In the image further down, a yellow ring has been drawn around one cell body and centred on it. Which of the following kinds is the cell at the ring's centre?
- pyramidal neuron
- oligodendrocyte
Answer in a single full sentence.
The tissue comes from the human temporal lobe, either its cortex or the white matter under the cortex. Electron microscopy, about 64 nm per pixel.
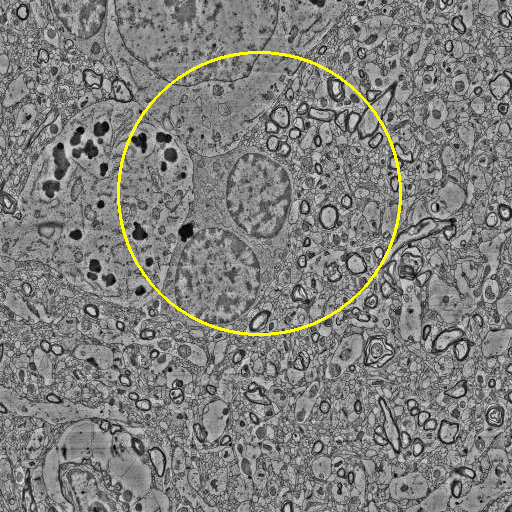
In the picture, the cell sitting at the centre of the yellow ring is an oligodendrocyte.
